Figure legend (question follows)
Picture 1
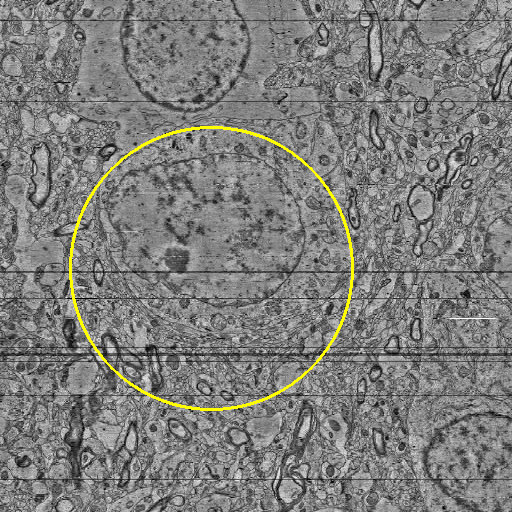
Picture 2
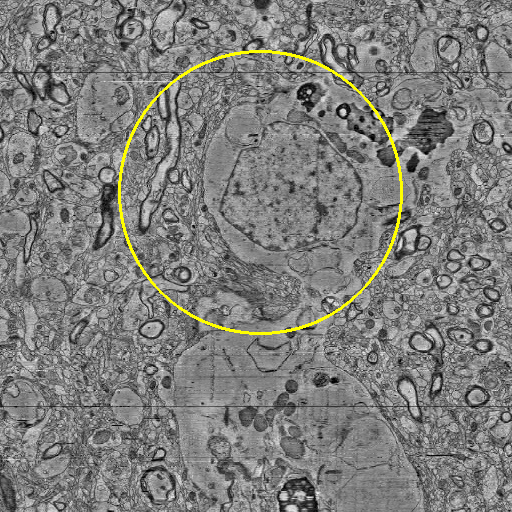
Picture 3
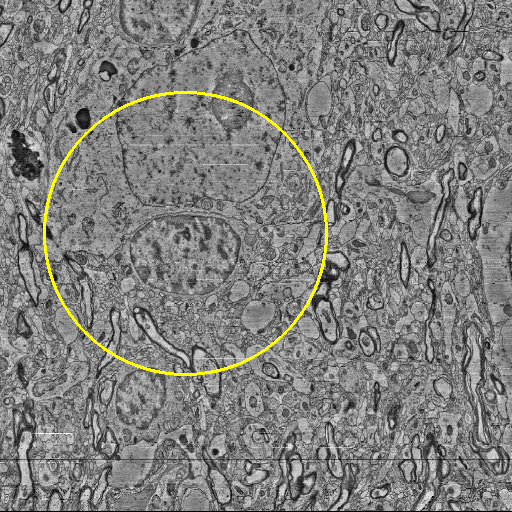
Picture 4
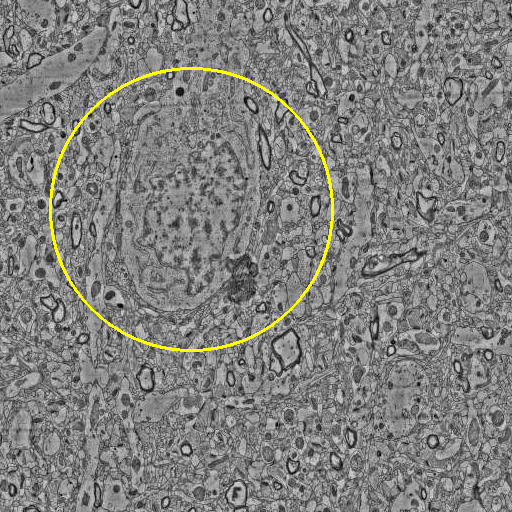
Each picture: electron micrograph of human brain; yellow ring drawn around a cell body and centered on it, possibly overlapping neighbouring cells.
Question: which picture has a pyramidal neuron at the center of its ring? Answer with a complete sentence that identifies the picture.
Picture 1 has it at the center of its ring.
